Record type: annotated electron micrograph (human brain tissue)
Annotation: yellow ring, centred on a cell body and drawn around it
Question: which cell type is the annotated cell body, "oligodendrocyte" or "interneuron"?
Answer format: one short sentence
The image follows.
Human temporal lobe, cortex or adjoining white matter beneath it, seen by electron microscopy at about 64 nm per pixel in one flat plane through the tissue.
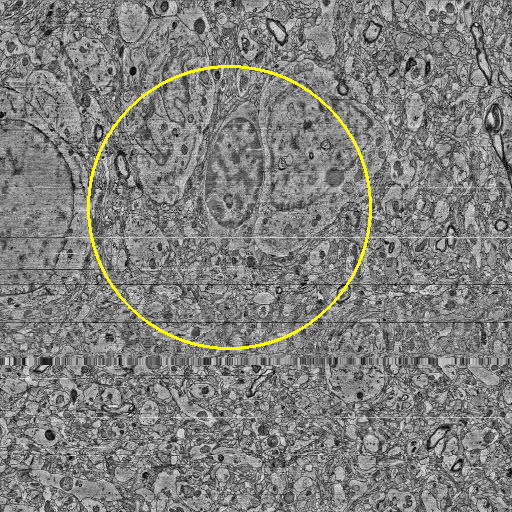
The annotated cell body is that of an oligodendrocyte.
